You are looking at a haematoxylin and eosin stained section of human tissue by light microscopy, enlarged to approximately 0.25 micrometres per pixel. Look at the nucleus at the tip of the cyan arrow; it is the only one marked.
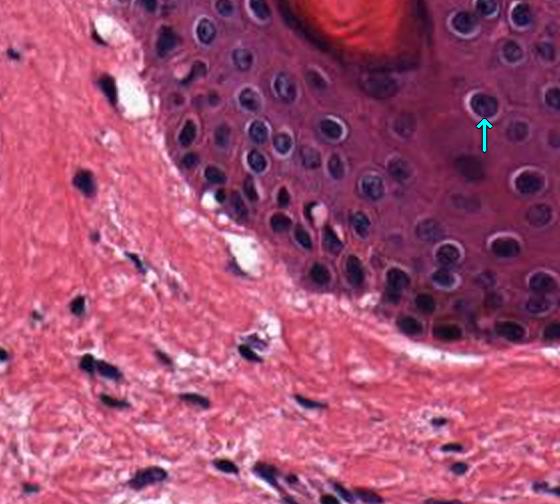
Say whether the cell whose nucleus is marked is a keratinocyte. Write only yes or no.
yes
